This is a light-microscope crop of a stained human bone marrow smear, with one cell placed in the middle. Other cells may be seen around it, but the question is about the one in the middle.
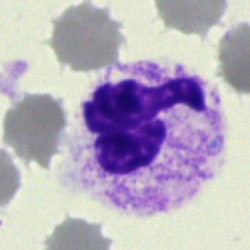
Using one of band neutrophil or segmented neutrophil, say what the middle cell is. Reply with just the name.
segmented neutrophil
